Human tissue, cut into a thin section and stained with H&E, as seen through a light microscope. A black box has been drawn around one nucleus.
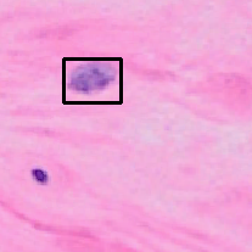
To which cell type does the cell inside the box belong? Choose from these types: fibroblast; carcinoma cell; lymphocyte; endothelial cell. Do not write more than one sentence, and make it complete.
The cell type of the cell inside the box is that of a fibroblast.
